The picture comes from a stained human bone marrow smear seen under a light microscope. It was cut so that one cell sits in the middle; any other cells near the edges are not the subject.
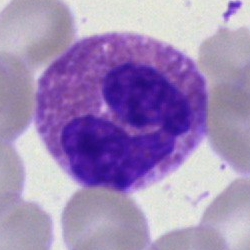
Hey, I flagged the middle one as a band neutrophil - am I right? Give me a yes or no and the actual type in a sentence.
No, this cell in the middle is an eosinophil, so it is not a band neutrophil.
